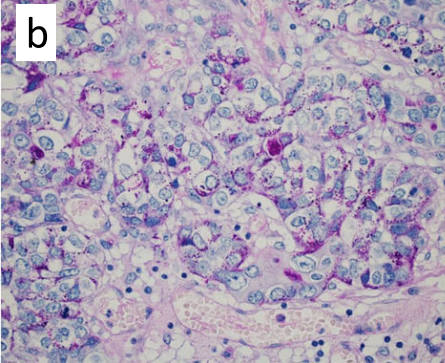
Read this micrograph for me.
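These are adenocarcinoma tumor cells with abundant pale, clear cytoplasm and round nuclei with distinct nucleoli, stained blue. The cells are arranged in nests, with thin-walled vessels holding red blood cells between them.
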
